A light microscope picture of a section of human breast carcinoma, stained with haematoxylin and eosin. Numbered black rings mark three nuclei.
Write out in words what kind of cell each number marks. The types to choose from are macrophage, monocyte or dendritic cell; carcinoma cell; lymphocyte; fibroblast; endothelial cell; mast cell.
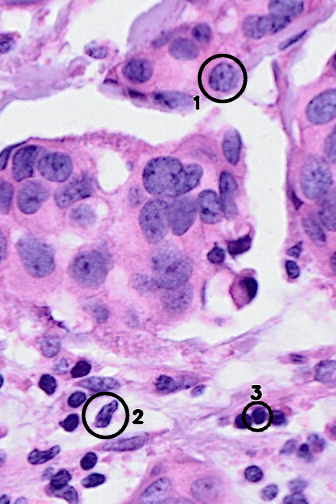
Cell 1 is a carcinoma cell. Cells 2 and 3 are lymphocytes.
